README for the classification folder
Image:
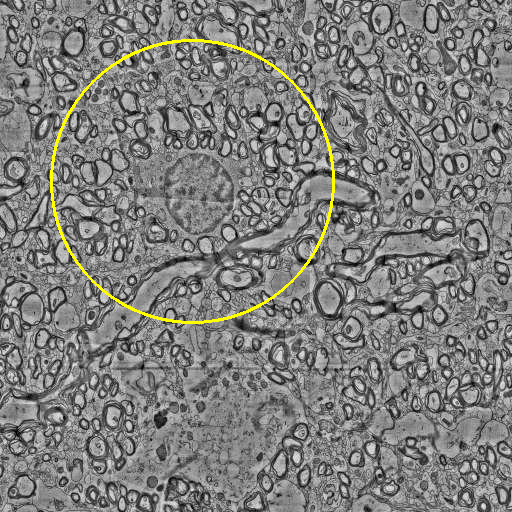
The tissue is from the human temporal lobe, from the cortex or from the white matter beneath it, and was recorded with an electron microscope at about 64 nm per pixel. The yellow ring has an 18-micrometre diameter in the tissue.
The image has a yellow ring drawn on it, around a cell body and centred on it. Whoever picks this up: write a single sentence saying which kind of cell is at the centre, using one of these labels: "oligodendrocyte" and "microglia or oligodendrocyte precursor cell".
This cell body is that of an oligodendrocyte.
